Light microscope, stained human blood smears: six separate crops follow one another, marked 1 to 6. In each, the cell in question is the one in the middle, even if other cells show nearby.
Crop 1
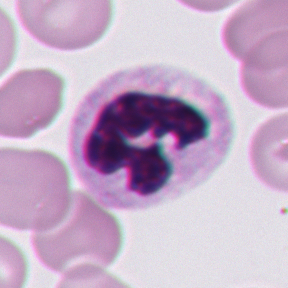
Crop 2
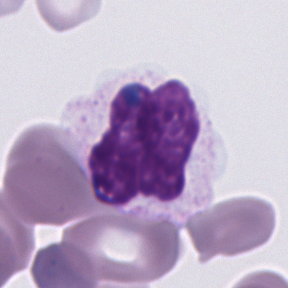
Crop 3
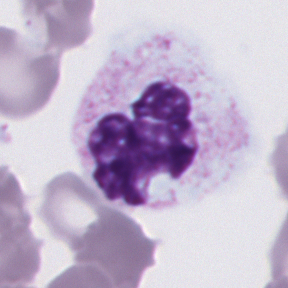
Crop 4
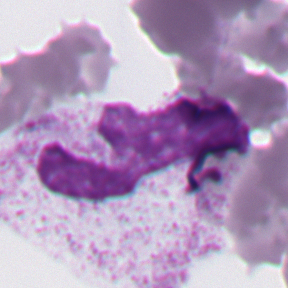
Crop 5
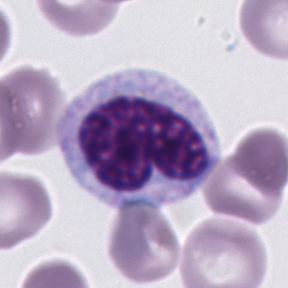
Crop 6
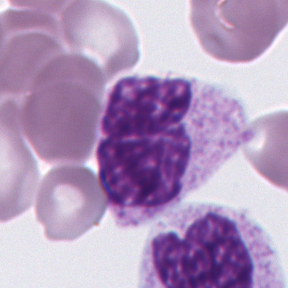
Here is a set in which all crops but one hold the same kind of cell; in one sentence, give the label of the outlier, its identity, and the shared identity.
Crop 5 is the only crop with a band neutrophil, the others all showing segmented neutrophils.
